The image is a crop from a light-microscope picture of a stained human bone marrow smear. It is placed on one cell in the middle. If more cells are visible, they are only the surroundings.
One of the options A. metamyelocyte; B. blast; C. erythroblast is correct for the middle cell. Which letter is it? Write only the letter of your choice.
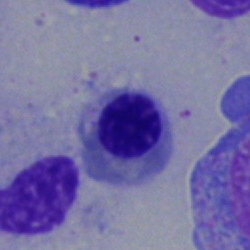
C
